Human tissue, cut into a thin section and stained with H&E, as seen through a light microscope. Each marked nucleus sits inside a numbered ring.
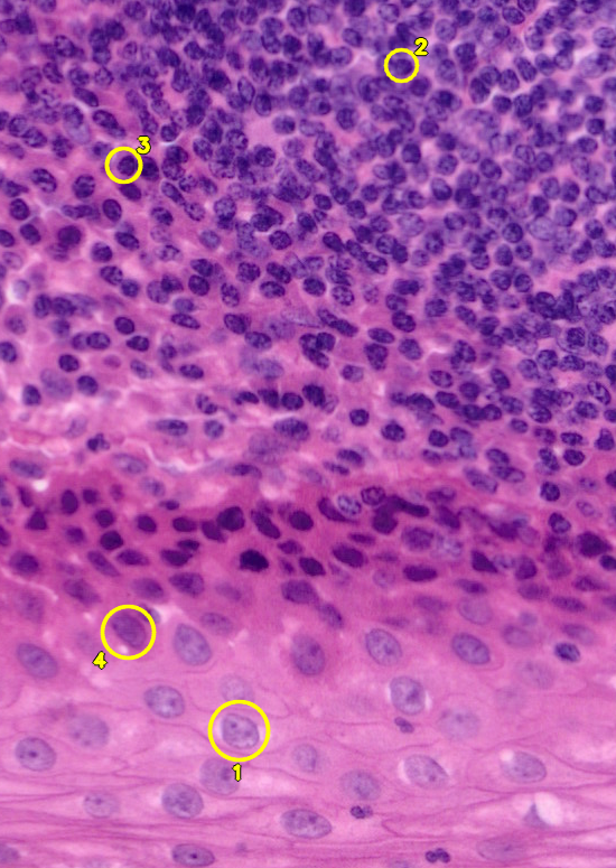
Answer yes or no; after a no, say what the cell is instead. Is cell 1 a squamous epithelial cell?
Yes.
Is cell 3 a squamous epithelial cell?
No, it is a plasma cell.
